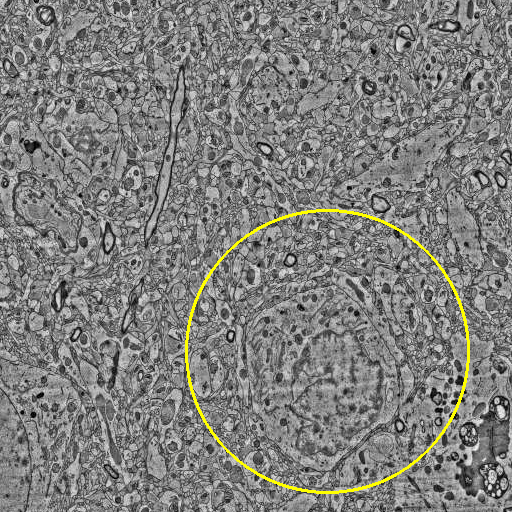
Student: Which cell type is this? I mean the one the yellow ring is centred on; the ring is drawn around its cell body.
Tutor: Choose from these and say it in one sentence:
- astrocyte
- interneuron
The cell the ring is centred on is an interneuron.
